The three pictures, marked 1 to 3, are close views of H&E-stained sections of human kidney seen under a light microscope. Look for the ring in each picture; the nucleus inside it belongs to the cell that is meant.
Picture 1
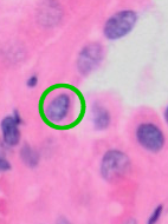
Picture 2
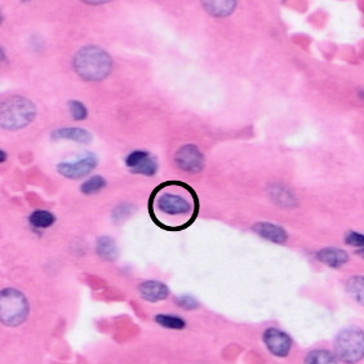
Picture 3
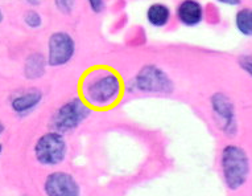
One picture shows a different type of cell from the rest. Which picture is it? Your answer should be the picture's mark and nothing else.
3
